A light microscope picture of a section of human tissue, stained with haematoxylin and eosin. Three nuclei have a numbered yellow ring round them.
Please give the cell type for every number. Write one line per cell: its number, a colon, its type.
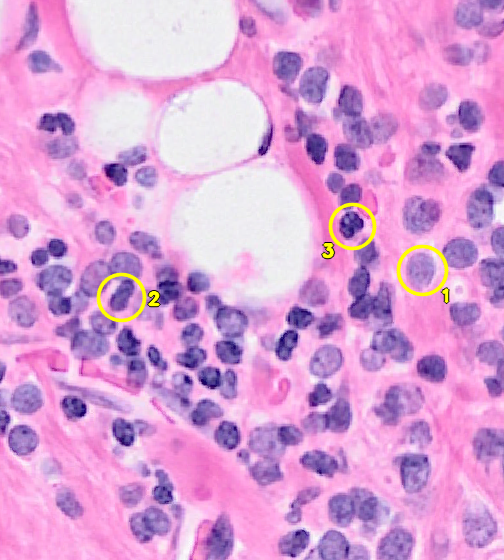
1: carcinoma cell
2: lymphocyte
3: lymphocyte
